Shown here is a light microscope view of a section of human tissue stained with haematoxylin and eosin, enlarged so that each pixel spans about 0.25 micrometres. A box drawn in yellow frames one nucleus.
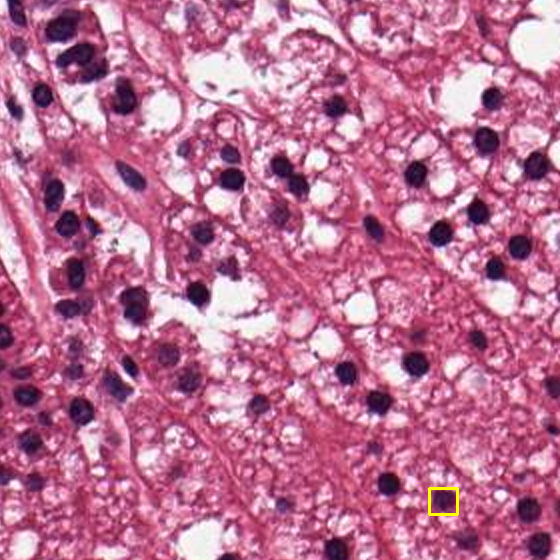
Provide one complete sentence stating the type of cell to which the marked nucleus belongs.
The marked nucleus is contained in an adrenal cortical cell.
